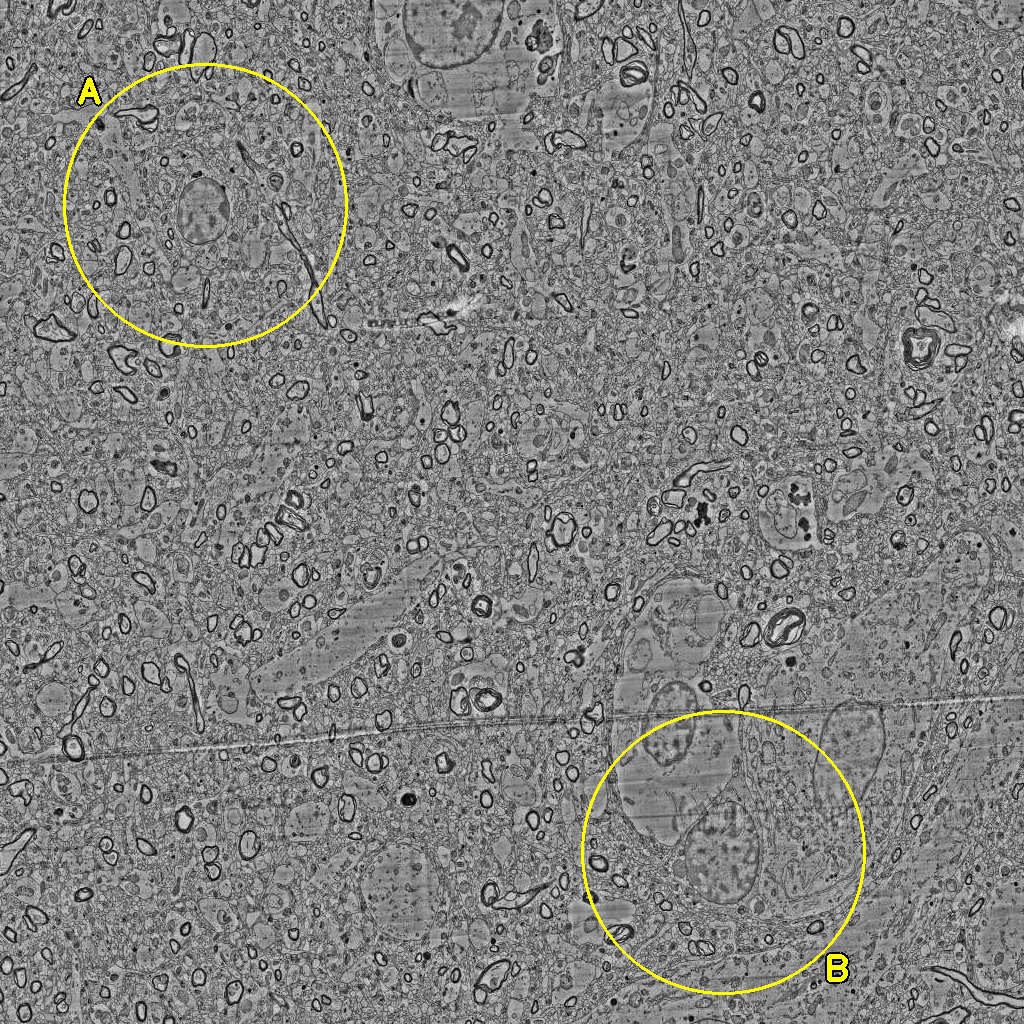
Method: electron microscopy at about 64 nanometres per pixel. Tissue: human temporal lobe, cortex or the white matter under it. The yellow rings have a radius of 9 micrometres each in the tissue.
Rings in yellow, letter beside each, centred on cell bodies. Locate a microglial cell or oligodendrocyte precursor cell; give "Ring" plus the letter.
Ring A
